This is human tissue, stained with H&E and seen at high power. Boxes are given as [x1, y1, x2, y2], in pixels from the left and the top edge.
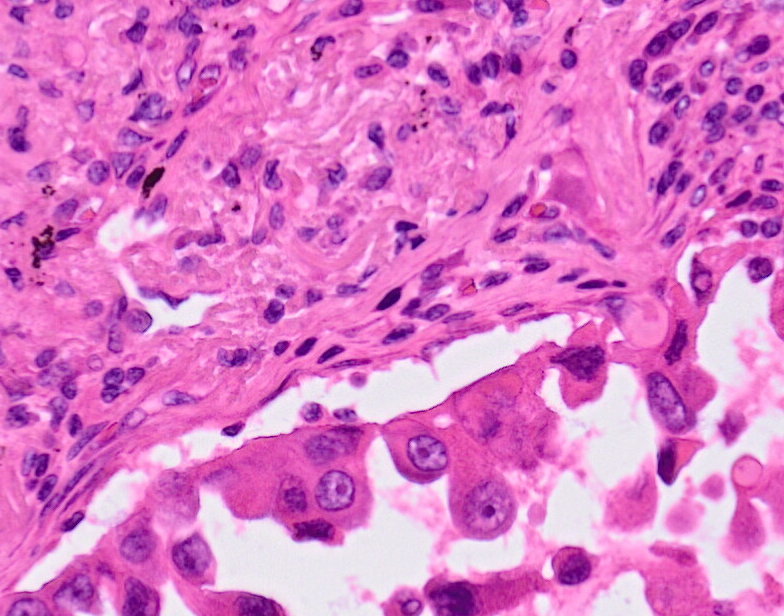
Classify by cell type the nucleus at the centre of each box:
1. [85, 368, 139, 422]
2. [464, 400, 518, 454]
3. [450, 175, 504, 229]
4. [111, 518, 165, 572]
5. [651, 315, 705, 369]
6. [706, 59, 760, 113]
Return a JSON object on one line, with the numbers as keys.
{"1": "lymphocyte", "2": "carcinoma cell", "3": "fibroblast", "4": "carcinoma cell", "5": "carcinoma cell", "6": "lymphocyte"}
